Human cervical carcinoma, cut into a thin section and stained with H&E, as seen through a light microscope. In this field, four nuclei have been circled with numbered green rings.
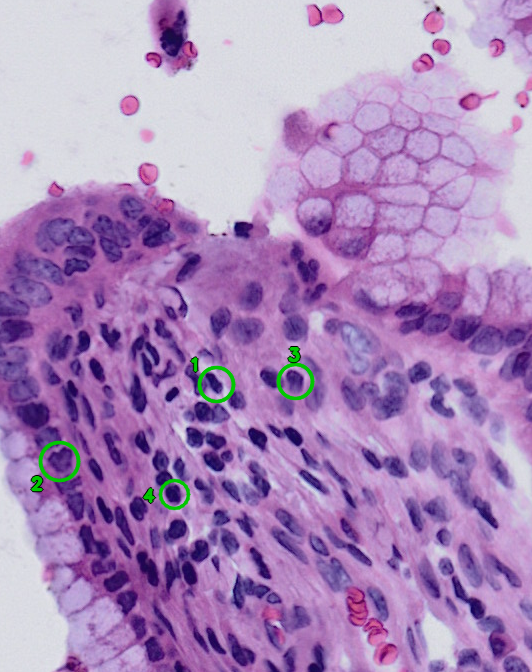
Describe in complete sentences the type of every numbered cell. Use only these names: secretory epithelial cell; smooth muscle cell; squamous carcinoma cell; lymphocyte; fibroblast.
Cells 1, 3 and 4 are lymphocytes. Cell 2 is a secretory epithelial cell.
